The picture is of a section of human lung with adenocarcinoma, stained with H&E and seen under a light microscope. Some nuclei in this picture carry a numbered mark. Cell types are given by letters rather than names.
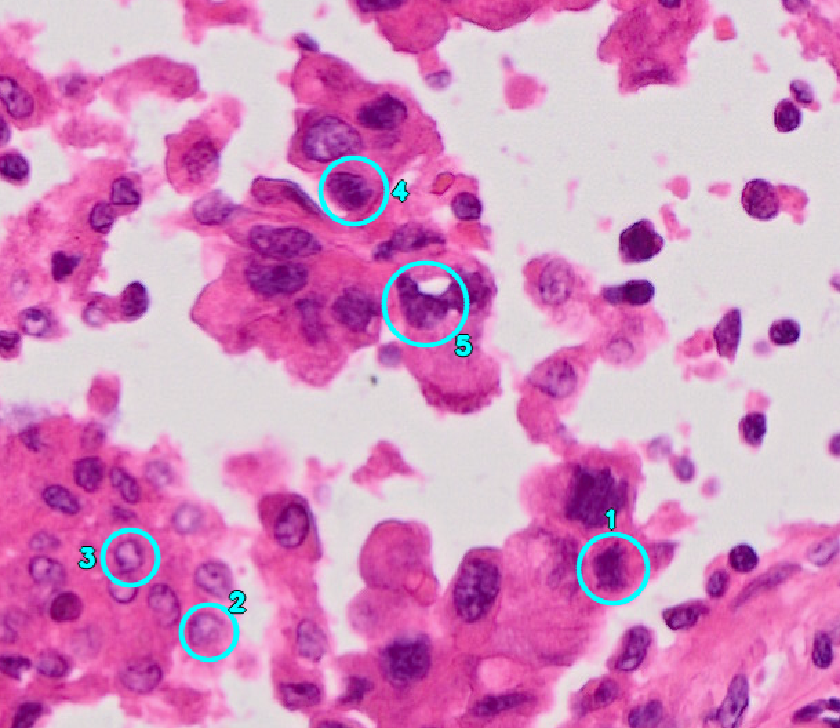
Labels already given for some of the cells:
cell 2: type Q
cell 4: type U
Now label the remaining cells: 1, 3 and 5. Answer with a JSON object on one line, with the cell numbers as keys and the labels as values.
{"1": "type U", "3": "type Q", "5": "type U"}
